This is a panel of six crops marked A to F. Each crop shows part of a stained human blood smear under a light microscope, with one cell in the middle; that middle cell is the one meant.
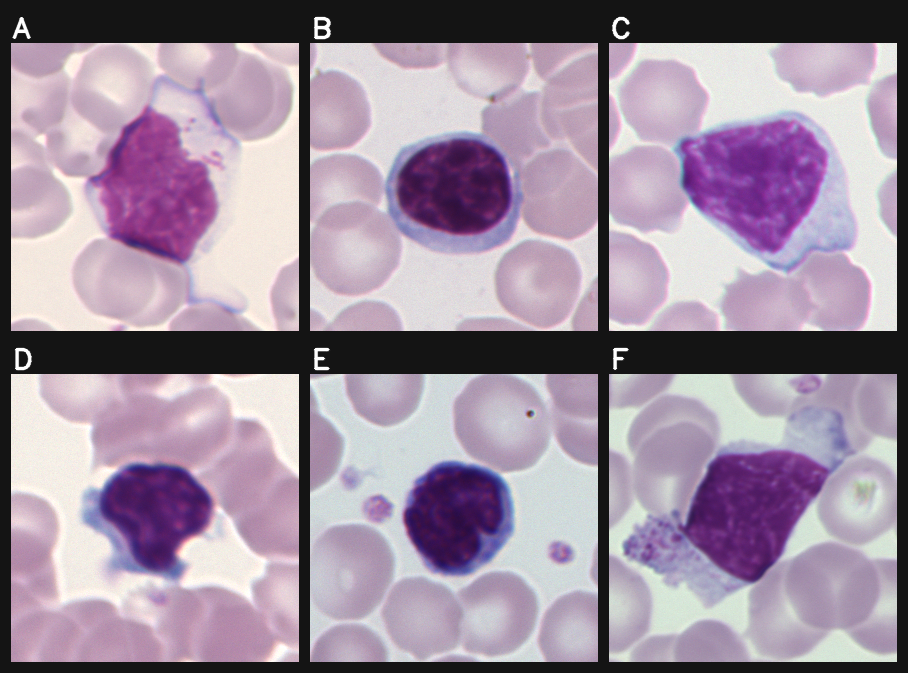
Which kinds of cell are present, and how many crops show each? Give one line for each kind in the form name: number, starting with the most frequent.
typical lymphocyte: 4
large granular lymphocyte: 2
